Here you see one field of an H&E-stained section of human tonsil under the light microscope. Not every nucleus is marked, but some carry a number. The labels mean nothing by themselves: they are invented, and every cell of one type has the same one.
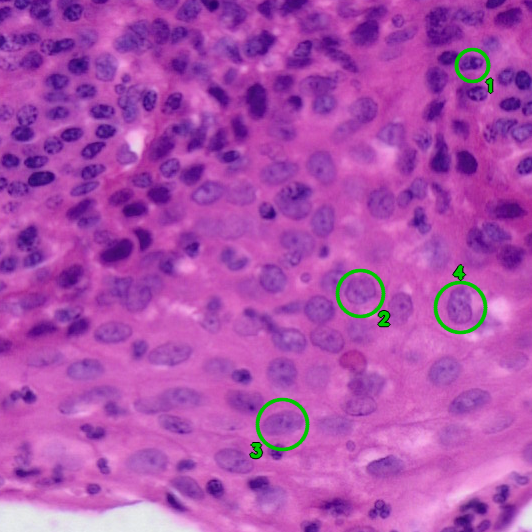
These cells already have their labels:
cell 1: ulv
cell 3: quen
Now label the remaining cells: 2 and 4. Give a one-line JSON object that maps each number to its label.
{"2": "quen", "4": "quen"}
